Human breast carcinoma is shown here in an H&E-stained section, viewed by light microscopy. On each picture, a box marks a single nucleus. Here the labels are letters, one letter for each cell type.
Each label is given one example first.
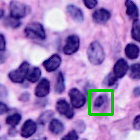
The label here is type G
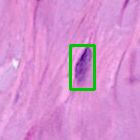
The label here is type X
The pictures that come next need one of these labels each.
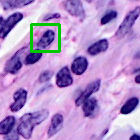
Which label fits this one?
type G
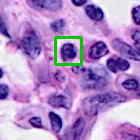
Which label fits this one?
type G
